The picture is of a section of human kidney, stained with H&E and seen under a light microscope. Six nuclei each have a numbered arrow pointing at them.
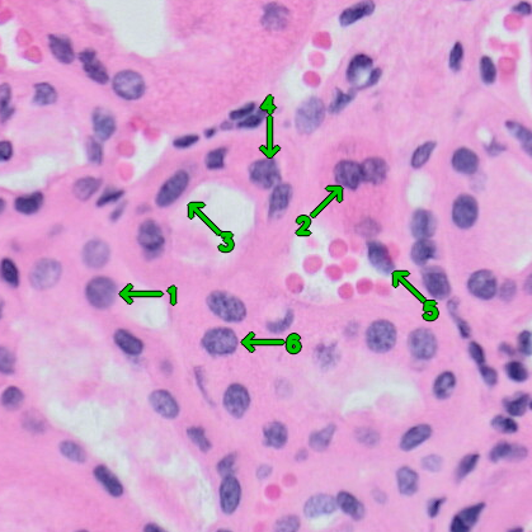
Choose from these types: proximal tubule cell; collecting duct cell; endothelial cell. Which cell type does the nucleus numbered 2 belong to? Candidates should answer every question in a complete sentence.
Number 2 is placed on a proximal tubule cell here.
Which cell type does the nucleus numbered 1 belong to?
The one labeled 1 is a collecting duct cell, to put it simply.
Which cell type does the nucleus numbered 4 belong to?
The cell to which the number 4 is assigned is a collecting duct cell.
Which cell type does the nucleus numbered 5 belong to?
It is as an endothelial cell that the cell numbered 5 is identified.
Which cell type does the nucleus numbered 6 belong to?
Belonging to a collecting duct cell is the nucleus that carries the number 6.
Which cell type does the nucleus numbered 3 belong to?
The cell bearing label 3 corresponds to a collecting duct cell.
